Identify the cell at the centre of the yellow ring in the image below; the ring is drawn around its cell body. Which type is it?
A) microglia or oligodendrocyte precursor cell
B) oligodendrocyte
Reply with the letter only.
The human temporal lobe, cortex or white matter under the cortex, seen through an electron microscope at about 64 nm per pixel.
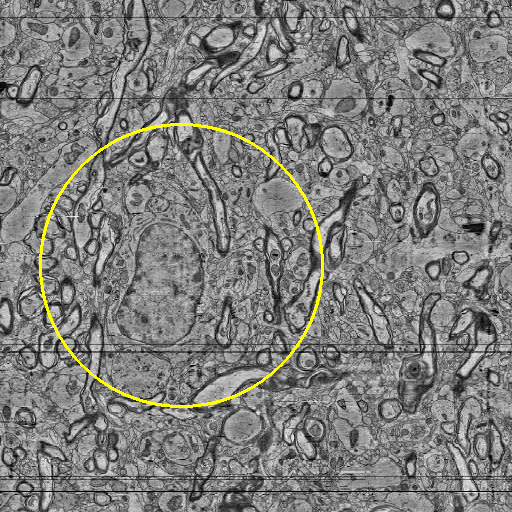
A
